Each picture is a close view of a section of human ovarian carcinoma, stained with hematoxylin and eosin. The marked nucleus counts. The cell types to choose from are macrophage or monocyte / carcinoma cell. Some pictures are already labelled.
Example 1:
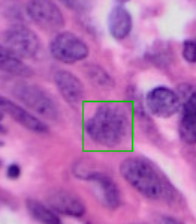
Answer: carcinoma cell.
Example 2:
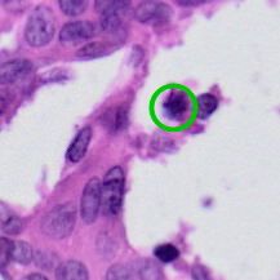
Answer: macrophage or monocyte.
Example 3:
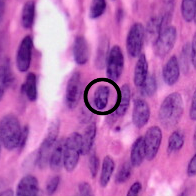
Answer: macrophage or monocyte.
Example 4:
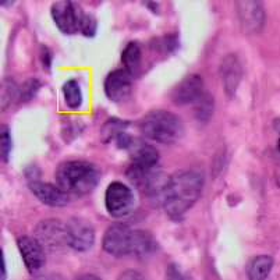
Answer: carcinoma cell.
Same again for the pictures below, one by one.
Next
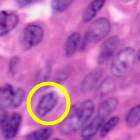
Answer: macrophage or monocyte.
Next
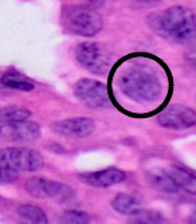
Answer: carcinoma cell.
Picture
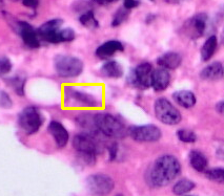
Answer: carcinoma cell.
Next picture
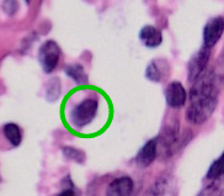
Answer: carcinoma cell.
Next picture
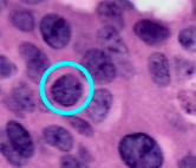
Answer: carcinoma cell.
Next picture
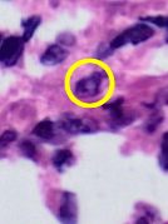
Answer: macrophage or monocyte.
